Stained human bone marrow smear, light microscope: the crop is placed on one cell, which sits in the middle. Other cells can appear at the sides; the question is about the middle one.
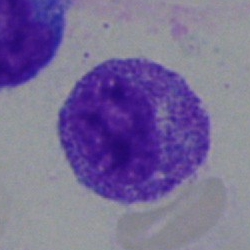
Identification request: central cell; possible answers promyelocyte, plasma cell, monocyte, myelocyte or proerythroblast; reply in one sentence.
The single cell at the center of the crop is a myelocyte.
